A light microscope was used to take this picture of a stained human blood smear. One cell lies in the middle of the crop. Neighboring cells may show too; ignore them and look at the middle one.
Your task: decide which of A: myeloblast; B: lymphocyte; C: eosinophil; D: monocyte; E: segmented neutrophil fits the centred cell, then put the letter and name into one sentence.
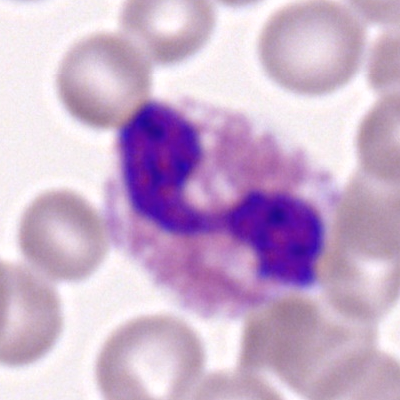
Option C is accurate; the centrally placed cell is an eosinophil.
